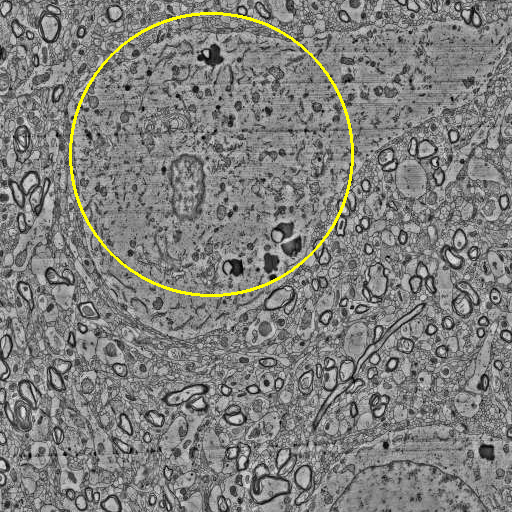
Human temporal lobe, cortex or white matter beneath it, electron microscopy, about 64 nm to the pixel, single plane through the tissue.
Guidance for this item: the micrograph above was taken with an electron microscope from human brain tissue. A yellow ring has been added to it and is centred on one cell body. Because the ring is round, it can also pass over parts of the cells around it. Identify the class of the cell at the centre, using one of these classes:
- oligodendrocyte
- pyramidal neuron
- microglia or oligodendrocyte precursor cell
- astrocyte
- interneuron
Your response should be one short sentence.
The ring surrounds the body of a pyramidal neuron.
